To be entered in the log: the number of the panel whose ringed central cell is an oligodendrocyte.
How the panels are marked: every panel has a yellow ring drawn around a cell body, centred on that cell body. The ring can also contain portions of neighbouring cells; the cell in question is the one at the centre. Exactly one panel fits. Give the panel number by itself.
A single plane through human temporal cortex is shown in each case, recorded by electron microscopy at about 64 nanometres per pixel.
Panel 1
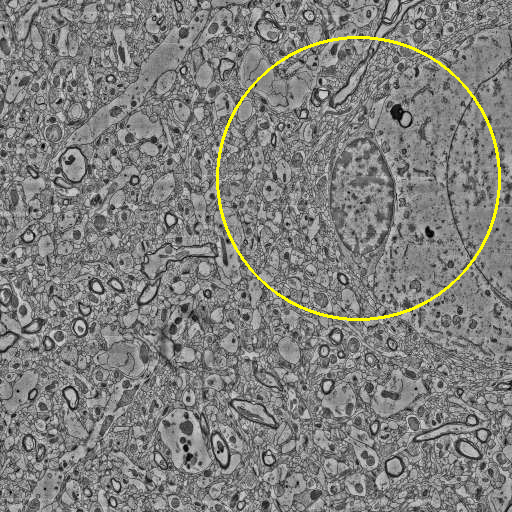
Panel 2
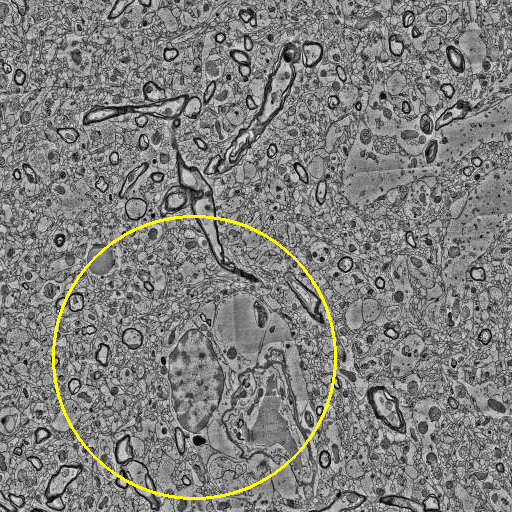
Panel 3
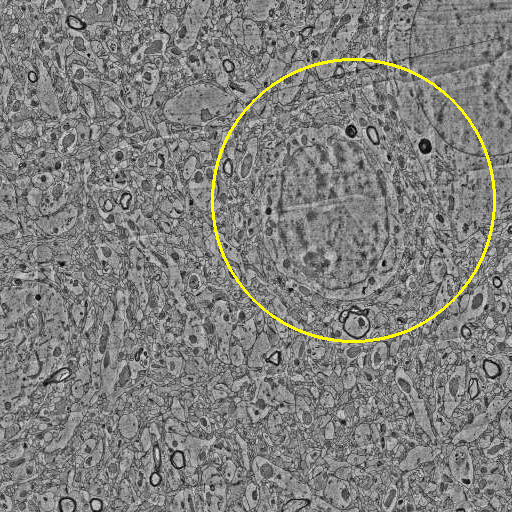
1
